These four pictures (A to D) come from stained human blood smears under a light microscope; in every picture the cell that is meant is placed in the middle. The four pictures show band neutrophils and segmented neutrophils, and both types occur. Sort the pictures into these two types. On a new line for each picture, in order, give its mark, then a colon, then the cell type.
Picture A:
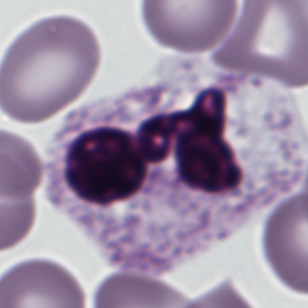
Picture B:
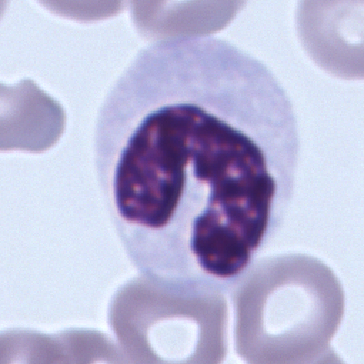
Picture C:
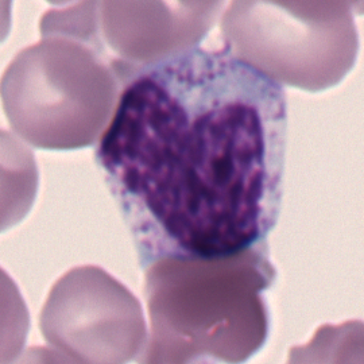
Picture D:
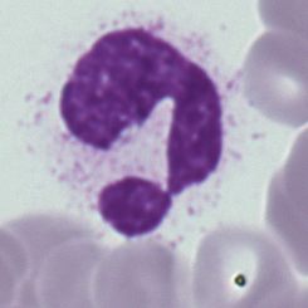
A: segmented neutrophil
B: band neutrophil
C: band neutrophil
D: segmented neutrophil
